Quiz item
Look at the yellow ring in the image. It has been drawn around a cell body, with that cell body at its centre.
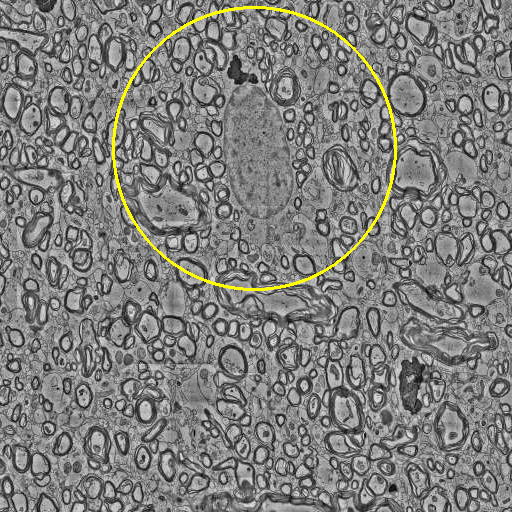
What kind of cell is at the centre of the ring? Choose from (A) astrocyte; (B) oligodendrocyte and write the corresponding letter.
B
